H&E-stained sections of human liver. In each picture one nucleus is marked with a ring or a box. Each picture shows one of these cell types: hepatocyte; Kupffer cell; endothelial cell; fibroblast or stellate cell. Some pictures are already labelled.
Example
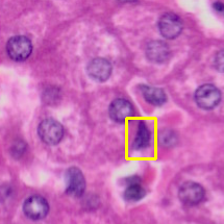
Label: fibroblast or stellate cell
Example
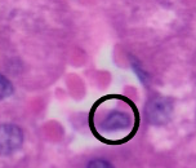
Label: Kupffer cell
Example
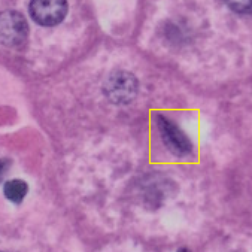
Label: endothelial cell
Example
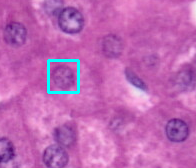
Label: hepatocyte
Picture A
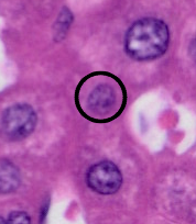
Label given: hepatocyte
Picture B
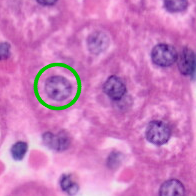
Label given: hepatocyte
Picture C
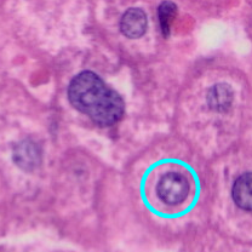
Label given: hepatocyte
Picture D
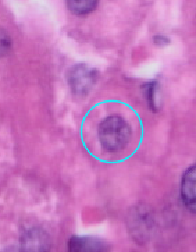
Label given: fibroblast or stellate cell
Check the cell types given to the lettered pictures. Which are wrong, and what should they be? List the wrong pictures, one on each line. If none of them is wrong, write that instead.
D: not fibroblast or stellate cell but hepatocyte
